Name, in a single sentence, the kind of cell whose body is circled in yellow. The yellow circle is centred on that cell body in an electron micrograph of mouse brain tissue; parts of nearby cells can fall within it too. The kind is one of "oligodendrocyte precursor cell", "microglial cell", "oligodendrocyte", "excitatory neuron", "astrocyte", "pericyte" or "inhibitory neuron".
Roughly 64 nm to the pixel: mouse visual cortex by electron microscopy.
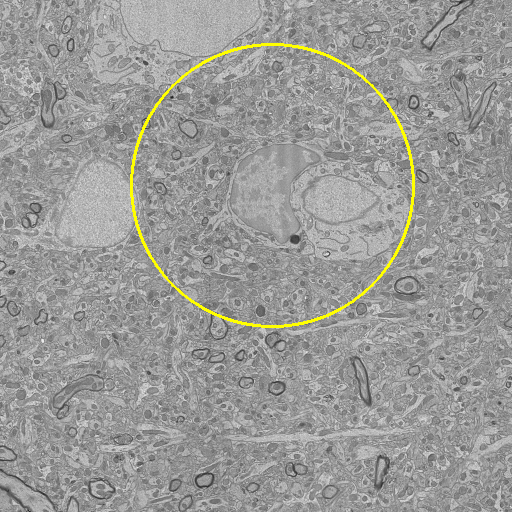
The circled cell body belongs to a microglial cell.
